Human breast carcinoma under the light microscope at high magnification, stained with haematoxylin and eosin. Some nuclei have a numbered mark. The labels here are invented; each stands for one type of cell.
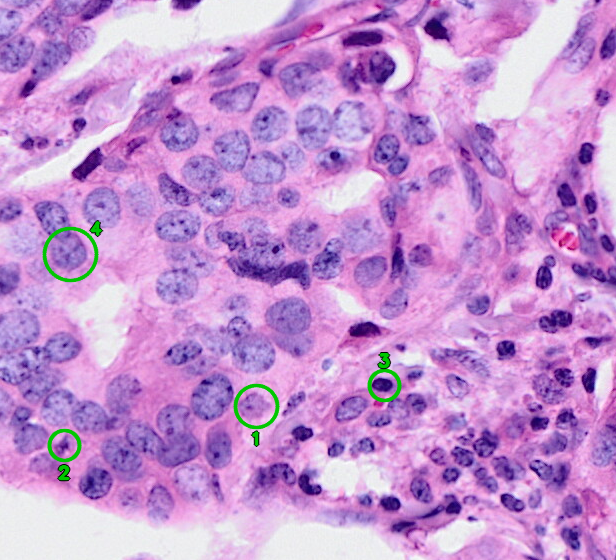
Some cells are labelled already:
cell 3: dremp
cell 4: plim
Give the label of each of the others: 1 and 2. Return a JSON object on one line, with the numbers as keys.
{"1": "plim", "2": "plim"}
